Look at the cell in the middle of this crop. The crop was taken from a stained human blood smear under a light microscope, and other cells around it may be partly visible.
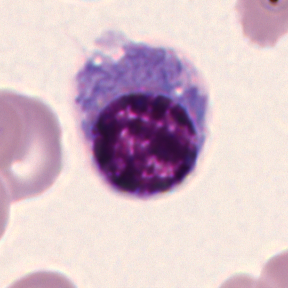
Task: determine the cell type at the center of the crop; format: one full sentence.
At the middle of the frame sits a plasma cell.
